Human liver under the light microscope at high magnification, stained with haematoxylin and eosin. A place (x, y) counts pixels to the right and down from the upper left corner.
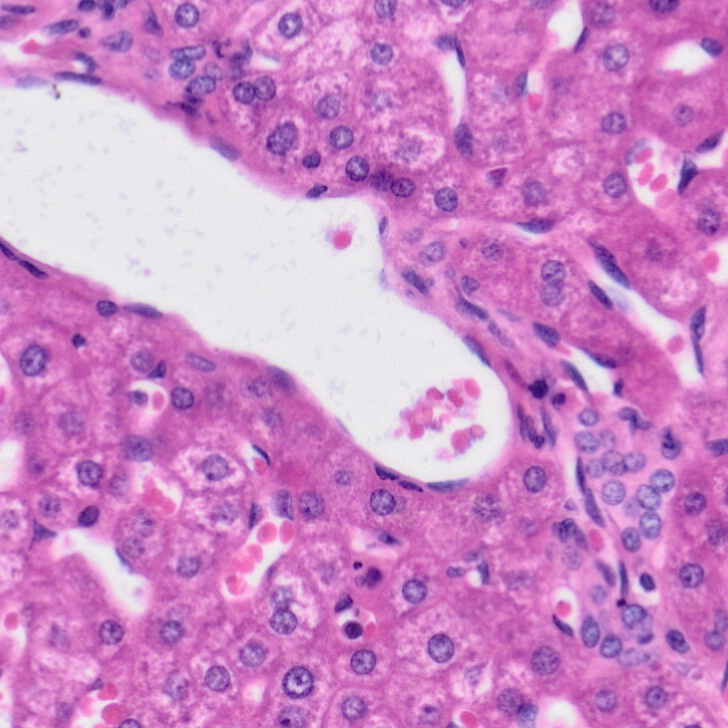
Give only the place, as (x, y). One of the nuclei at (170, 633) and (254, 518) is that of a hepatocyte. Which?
(170, 633)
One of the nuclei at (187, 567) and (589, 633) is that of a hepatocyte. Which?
(187, 567)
